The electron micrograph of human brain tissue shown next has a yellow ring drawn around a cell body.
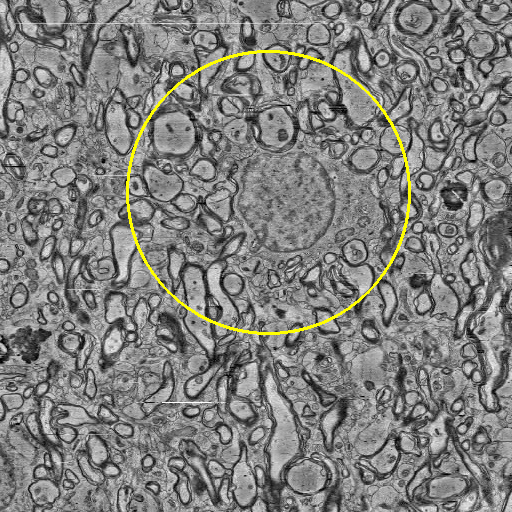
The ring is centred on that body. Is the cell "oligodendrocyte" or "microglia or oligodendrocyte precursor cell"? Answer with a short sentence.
The cell in question is an oligodendrocyte.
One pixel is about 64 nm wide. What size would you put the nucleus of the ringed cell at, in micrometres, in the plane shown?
In this plane, approximately 7 micrometres across.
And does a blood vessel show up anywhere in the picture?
No.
